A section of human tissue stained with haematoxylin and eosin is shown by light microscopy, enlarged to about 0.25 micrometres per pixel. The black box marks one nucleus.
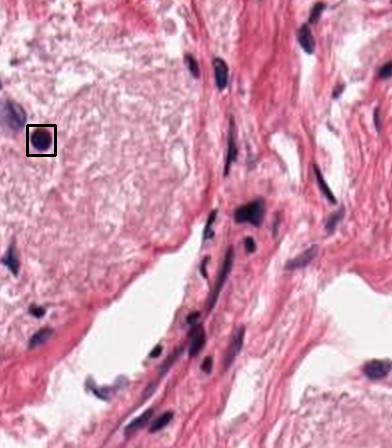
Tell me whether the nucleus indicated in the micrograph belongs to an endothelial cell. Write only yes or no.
no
